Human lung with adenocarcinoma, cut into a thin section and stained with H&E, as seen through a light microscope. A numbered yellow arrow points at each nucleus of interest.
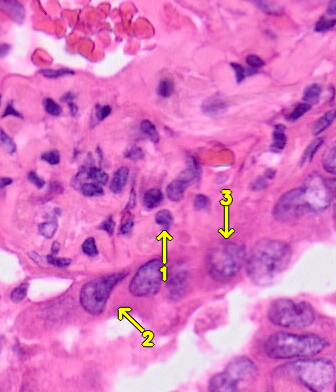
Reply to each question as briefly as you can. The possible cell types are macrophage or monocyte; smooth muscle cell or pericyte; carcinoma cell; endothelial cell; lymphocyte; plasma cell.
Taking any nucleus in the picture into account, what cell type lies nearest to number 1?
plasma cell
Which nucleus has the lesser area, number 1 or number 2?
1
